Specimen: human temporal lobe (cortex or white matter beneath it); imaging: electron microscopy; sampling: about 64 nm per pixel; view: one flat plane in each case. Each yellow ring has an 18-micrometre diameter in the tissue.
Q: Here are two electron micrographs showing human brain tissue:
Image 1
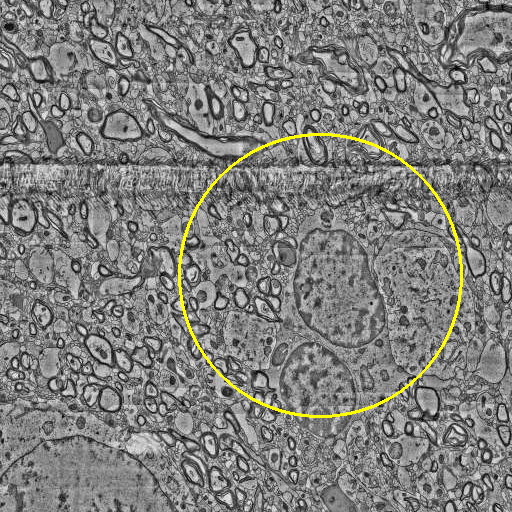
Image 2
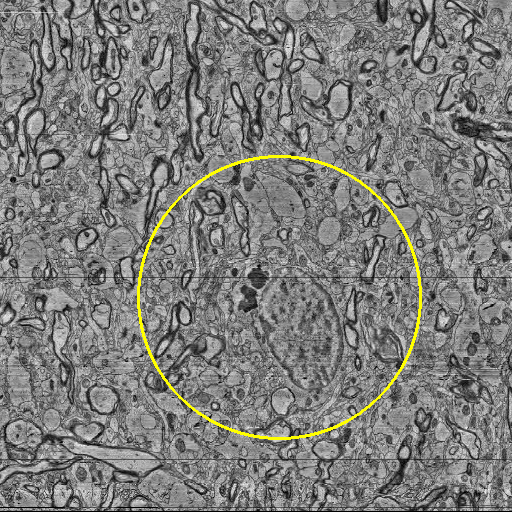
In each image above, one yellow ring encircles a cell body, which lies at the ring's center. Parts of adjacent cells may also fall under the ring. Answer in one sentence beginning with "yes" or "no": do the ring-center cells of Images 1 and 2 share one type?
Yes, in Images 1 and 2, the ring-center cells are both of one type.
